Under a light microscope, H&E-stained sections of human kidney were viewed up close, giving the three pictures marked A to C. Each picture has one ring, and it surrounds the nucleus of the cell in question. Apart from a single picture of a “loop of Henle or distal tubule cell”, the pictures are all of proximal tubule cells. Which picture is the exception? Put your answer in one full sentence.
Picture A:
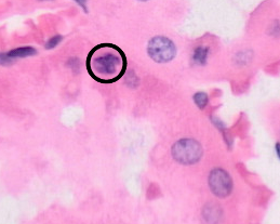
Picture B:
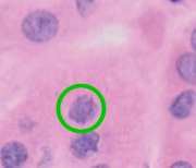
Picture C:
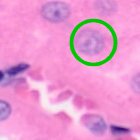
Picture B is the one that shows the “loop of Henle or distal tubule cell”.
